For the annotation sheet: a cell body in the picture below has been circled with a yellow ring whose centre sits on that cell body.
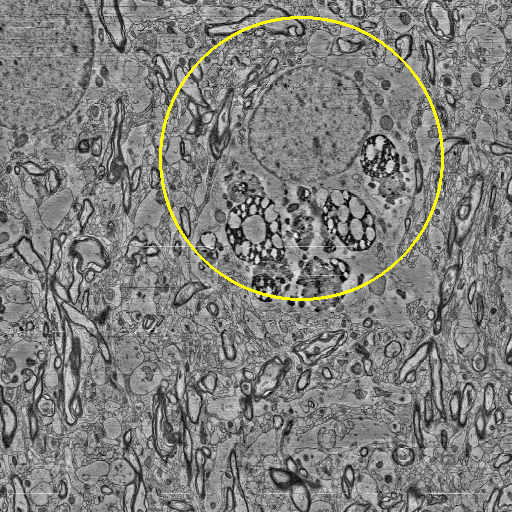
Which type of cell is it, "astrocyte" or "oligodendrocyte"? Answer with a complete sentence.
The circled cell is an astrocyte.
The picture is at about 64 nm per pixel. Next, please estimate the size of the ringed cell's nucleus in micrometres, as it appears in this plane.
Approximately 8 micrometres across, in this plane.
